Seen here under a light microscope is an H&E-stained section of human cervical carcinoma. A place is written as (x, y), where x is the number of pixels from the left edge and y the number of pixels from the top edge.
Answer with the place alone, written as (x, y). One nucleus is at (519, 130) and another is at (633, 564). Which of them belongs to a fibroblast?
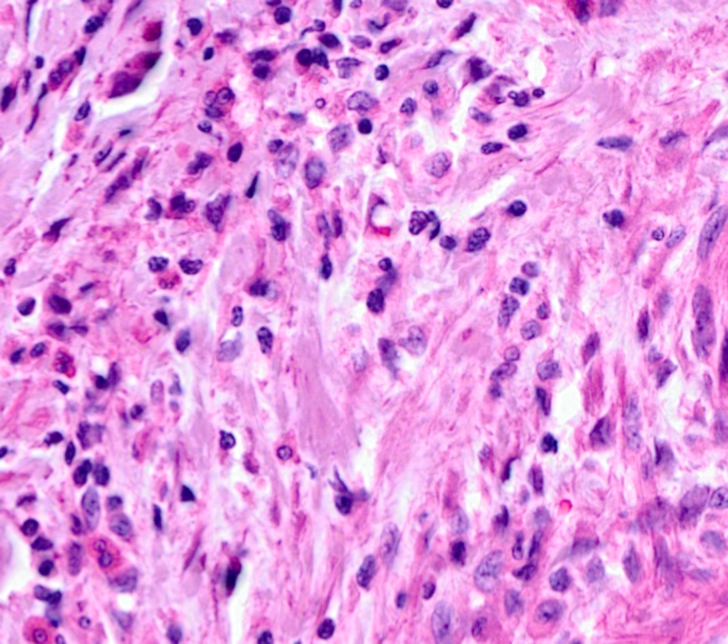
(633, 564)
